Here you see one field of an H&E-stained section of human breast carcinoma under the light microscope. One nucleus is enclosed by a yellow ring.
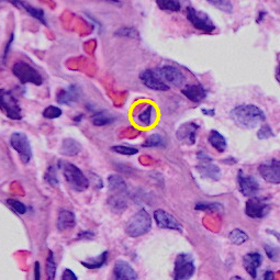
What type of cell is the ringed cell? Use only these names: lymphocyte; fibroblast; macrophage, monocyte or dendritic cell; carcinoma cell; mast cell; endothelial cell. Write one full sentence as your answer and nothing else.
The cell type represented by the ringed cell is that of an endothelial cell.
